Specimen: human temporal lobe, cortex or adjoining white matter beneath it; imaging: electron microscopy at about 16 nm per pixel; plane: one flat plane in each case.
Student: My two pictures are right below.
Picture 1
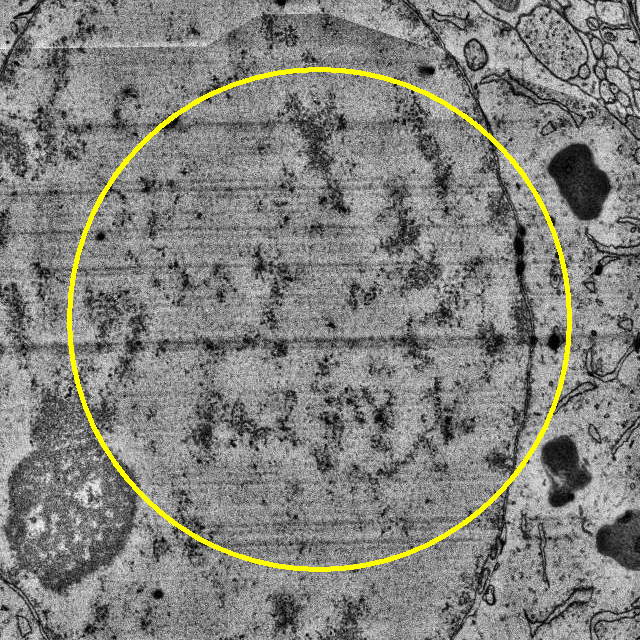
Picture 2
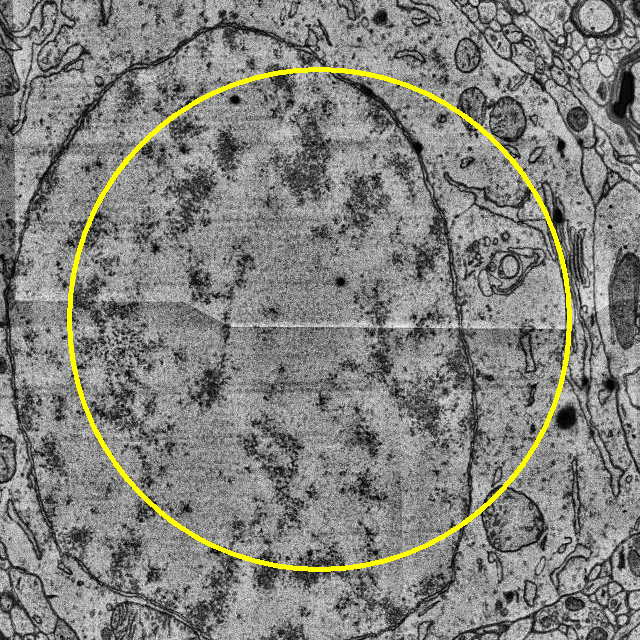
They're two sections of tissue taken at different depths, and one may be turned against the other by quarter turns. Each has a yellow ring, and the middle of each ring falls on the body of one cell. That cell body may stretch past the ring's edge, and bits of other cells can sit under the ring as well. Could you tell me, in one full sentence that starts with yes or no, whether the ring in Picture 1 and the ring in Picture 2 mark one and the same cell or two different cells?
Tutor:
Yes, one and the same cell lies under both rings.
